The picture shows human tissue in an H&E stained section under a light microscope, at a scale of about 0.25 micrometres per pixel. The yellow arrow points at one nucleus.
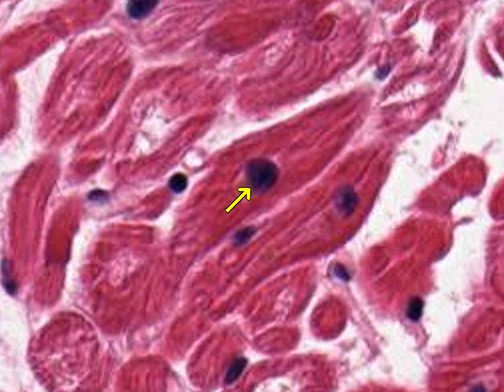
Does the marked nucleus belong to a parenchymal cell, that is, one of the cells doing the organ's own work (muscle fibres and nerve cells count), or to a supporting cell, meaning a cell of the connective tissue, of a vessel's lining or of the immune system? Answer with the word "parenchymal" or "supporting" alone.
parenchymal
